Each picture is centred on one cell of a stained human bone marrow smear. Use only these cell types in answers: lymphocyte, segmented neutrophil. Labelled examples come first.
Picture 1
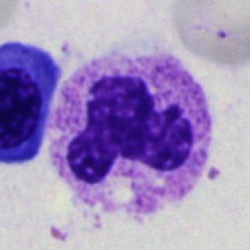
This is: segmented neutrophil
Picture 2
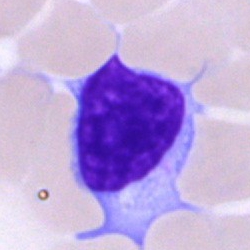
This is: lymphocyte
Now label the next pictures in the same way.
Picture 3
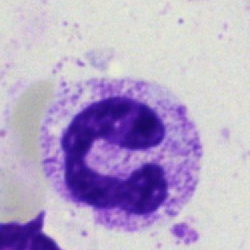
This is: segmented neutrophil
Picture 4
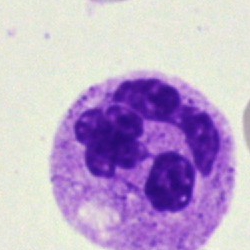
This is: segmented neutrophil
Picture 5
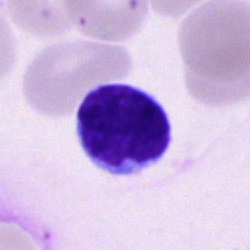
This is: lymphocyte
